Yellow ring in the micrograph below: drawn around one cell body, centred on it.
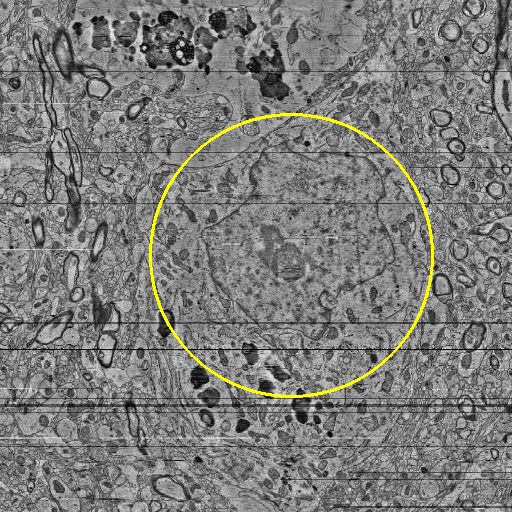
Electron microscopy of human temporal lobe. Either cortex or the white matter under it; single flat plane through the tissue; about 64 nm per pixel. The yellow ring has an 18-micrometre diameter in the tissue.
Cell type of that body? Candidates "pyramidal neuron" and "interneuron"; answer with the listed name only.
interneuron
